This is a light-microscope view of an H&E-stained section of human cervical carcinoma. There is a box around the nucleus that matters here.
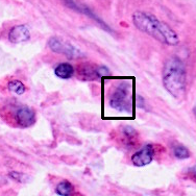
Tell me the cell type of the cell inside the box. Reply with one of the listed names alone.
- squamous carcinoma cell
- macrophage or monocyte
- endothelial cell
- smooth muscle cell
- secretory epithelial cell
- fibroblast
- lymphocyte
macrophage or monocyte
